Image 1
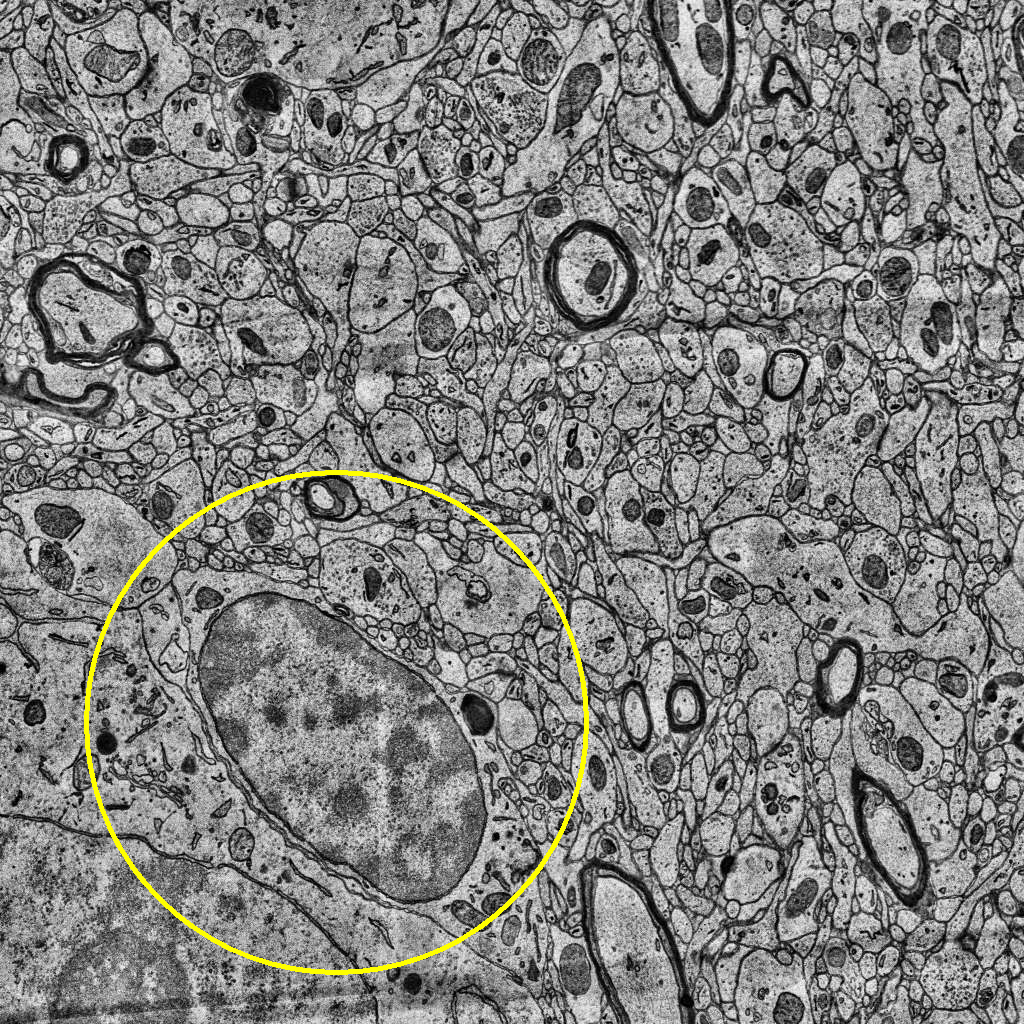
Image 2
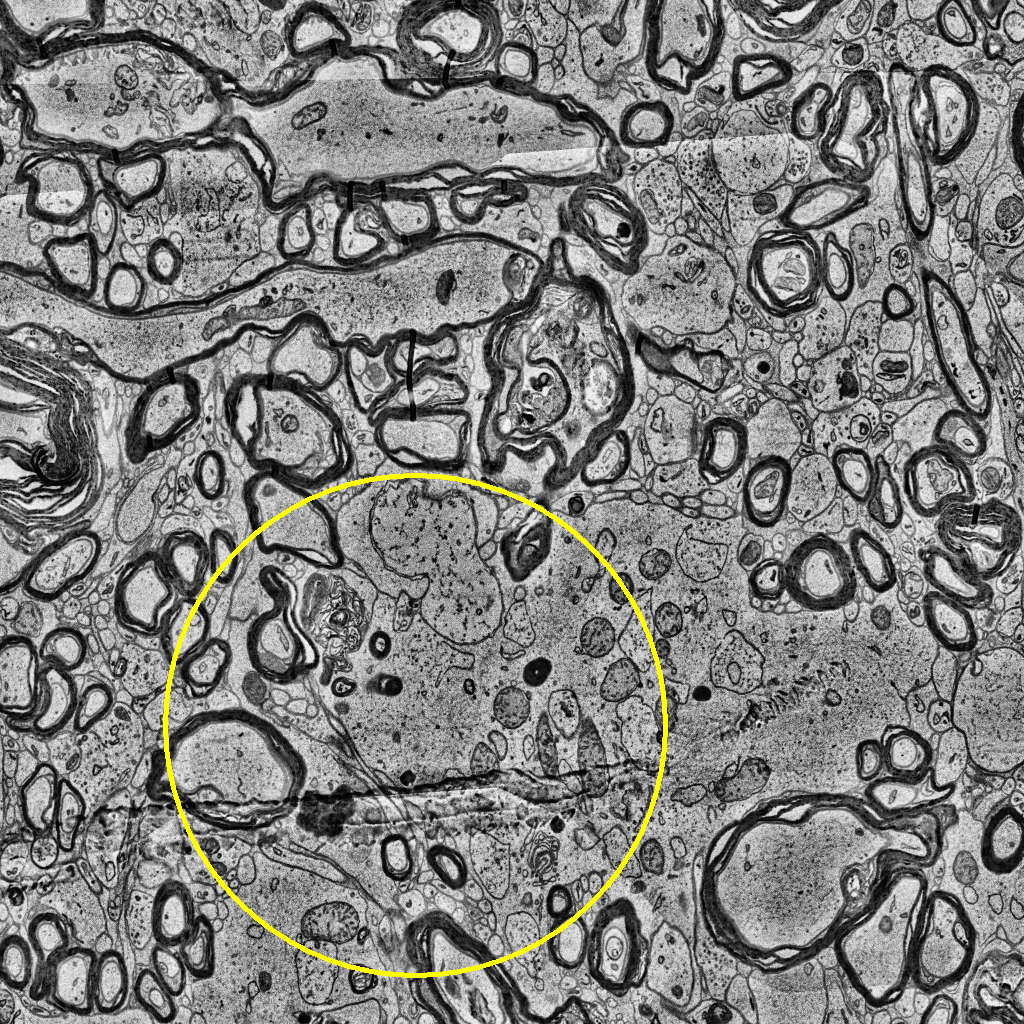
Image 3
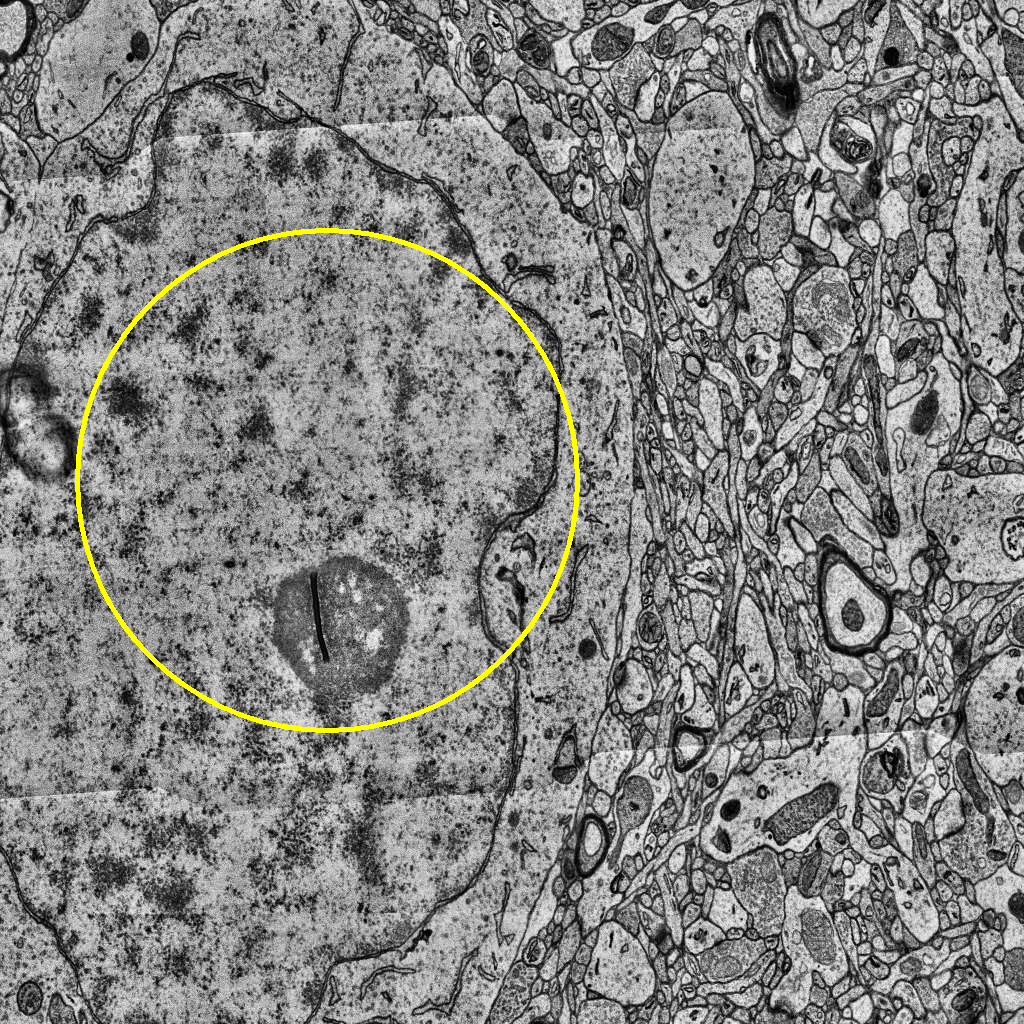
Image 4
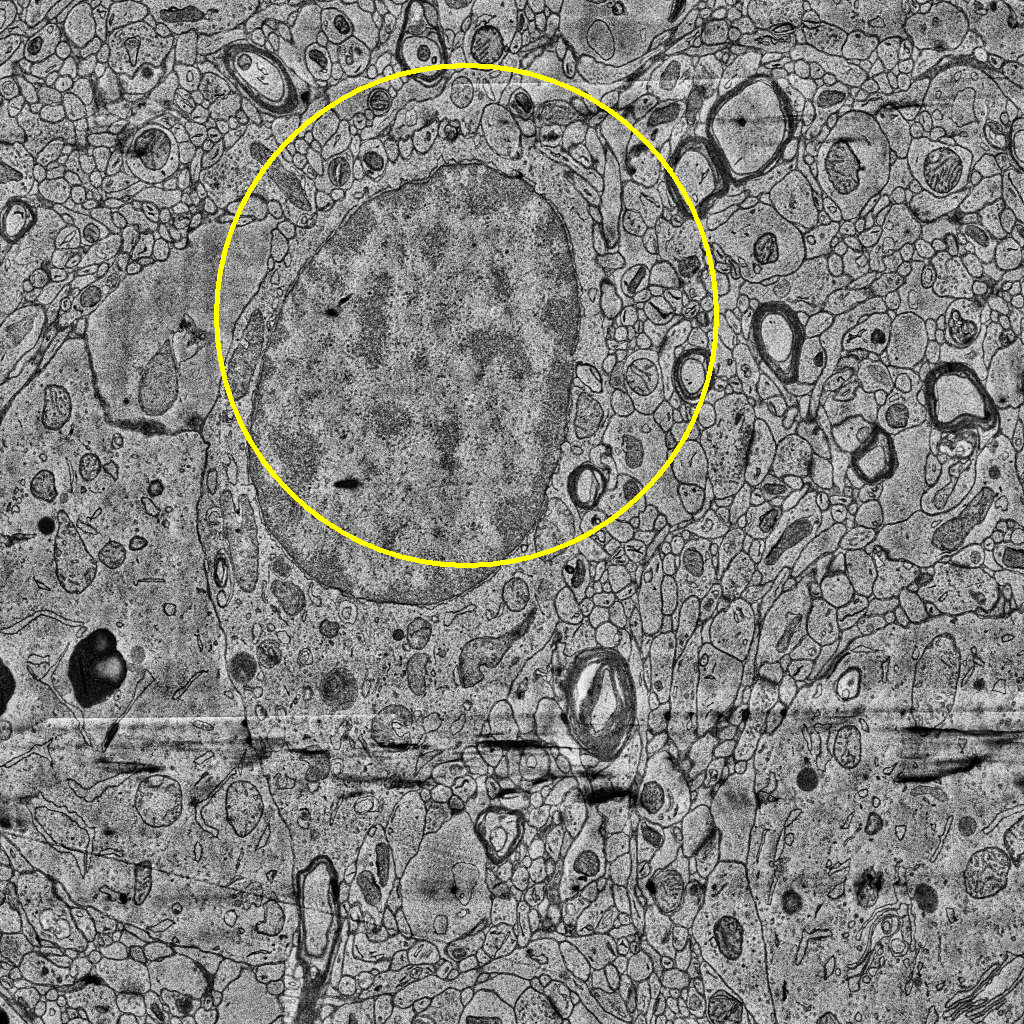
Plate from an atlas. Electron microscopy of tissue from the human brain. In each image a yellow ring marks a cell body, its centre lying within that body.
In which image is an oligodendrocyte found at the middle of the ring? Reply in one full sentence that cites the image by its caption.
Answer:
The requested cell is the one at the ring's centre in Image 4.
